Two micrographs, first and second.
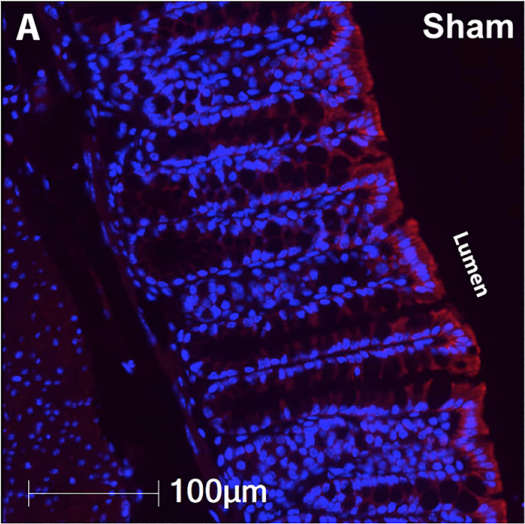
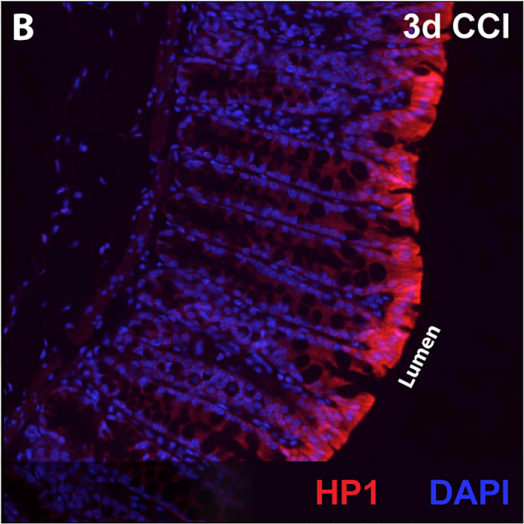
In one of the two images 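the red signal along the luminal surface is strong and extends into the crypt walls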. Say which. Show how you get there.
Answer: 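Second image: bright red band lines the luminal surface and red extends down the crypt epithelium. First image: red at the luminal surface is faint and thin, with blue nuclei dominating. On this evidence: the second image.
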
